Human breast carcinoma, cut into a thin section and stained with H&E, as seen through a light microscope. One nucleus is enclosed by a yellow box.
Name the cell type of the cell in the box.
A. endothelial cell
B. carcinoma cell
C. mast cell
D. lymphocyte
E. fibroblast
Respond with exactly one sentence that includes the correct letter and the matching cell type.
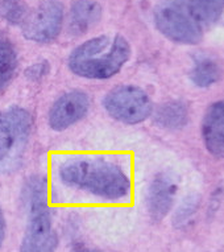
What option B states, that the cell in the box is a carcinoma cell, is correct.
